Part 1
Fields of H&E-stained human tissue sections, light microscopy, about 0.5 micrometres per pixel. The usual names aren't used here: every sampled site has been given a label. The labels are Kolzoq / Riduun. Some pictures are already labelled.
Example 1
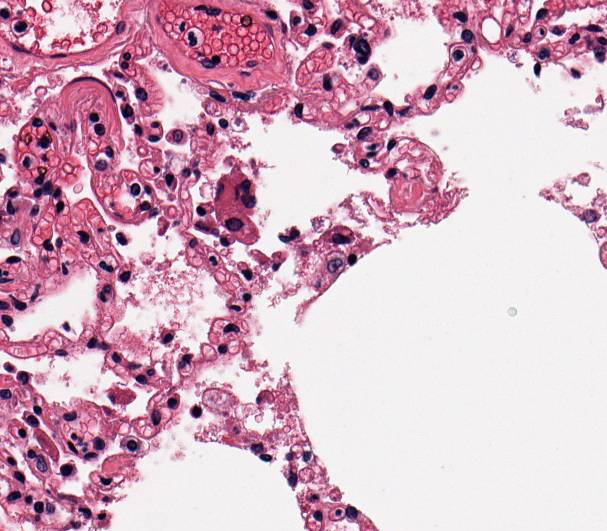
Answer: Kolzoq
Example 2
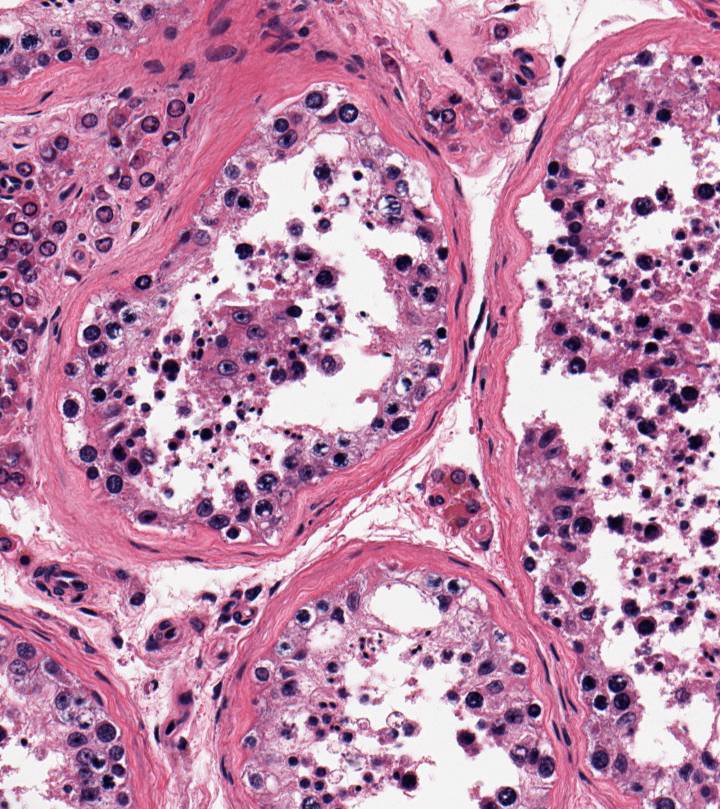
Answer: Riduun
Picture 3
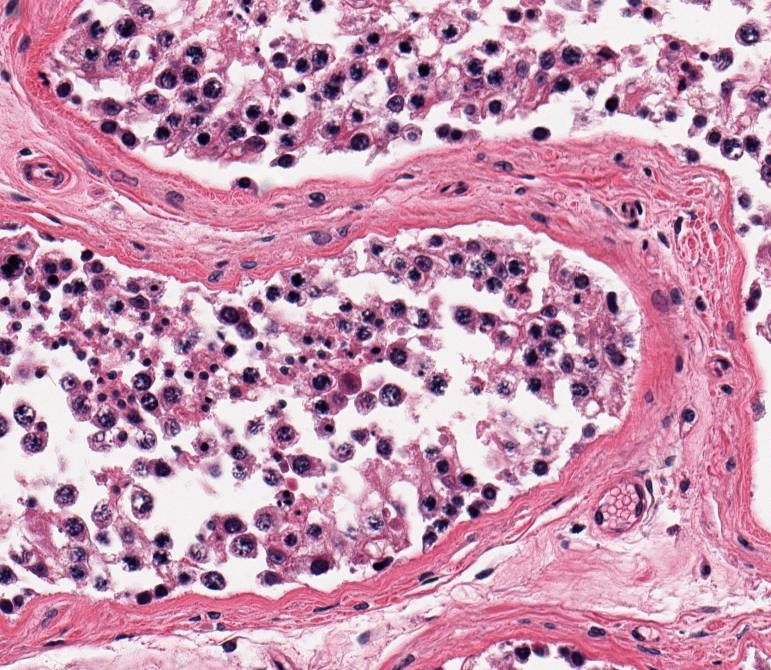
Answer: Riduun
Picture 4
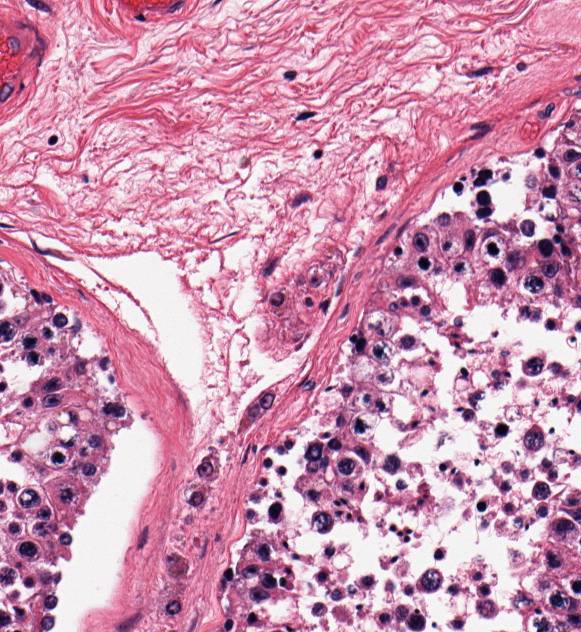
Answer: Riduun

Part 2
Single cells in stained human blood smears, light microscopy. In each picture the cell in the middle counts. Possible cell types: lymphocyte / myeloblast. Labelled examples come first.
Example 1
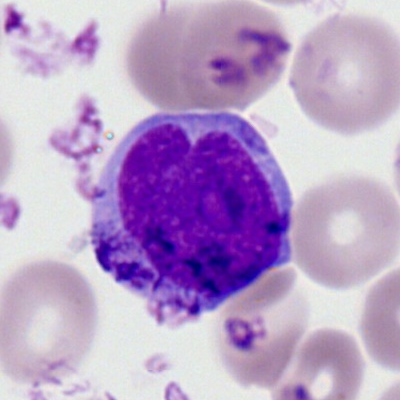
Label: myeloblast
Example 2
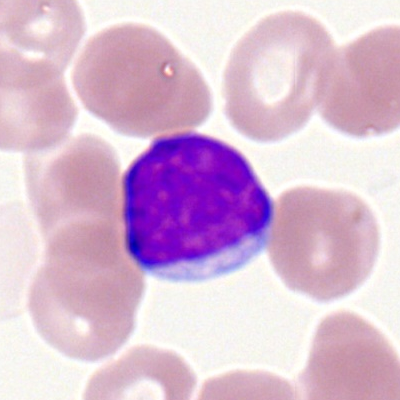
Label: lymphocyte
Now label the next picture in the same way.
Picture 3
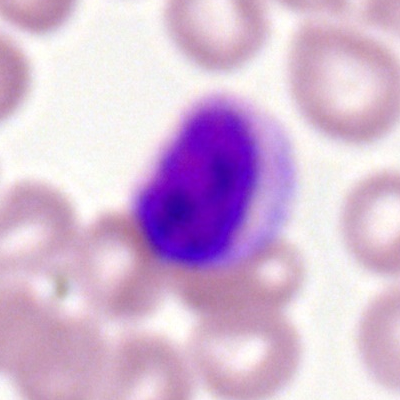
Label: lymphocyte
